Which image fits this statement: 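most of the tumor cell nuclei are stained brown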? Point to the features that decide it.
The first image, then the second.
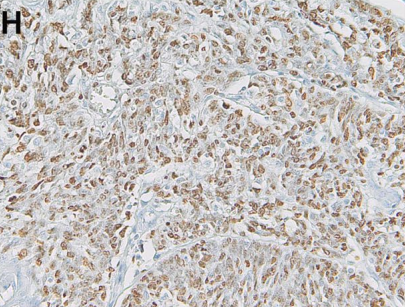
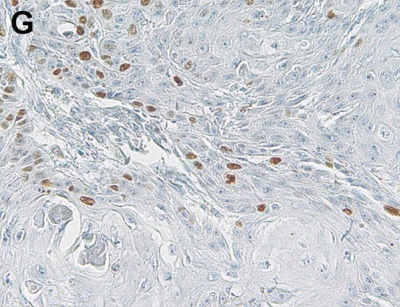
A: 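First image: brown nuclei fill nearly the whole field of densely packed cells. Second image: only scattered nuclei are brown among many blue ones. So: the first image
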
